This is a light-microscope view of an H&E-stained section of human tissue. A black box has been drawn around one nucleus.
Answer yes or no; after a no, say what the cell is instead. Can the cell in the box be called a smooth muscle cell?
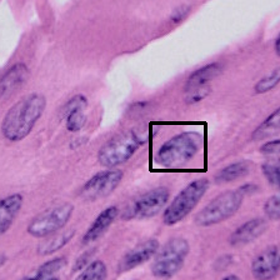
No, it is a squamous carcinoma cell.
